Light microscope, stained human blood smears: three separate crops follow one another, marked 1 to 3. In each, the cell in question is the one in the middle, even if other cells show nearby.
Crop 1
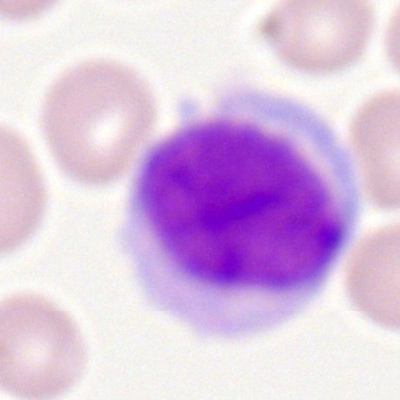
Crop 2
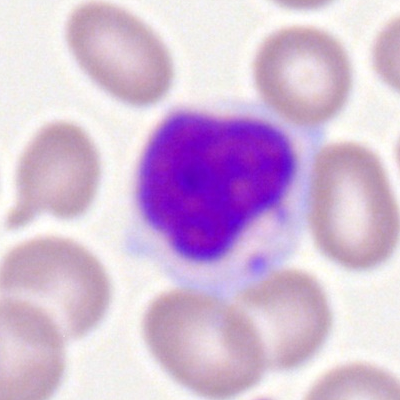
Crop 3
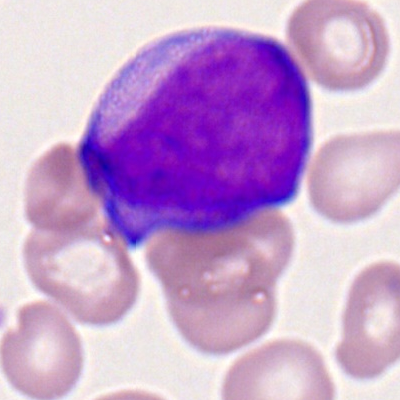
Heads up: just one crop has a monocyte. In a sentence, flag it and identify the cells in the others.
Crop 1 contains a monocyte; meanwhile, crop 2 is a lymphocyte and crop 3 is a myeloblast.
